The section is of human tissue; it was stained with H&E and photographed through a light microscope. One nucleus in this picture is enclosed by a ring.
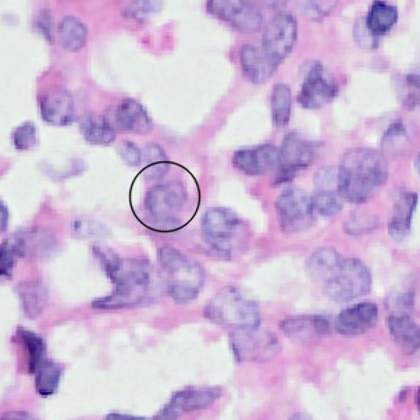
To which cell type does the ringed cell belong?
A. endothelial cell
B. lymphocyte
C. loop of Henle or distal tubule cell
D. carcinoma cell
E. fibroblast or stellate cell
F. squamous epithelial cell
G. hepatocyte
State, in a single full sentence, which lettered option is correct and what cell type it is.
Option D properly identifies the ringed cell as a carcinoma cell.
